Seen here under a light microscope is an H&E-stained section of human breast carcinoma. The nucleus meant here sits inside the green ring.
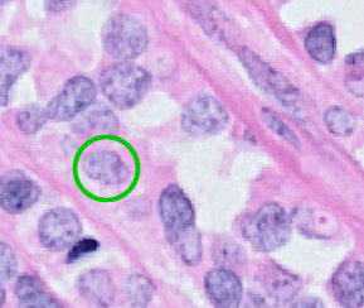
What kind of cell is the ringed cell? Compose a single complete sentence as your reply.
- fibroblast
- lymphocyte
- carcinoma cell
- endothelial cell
As far as its identity is concerned, the ringed cell is a carcinoma cell.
